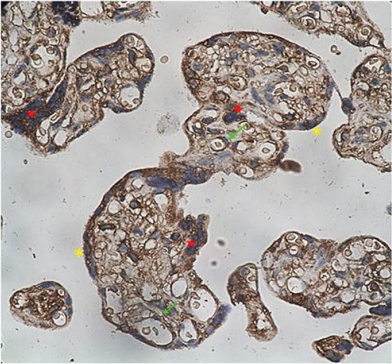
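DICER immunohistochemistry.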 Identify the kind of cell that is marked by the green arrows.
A: Endothelial cells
